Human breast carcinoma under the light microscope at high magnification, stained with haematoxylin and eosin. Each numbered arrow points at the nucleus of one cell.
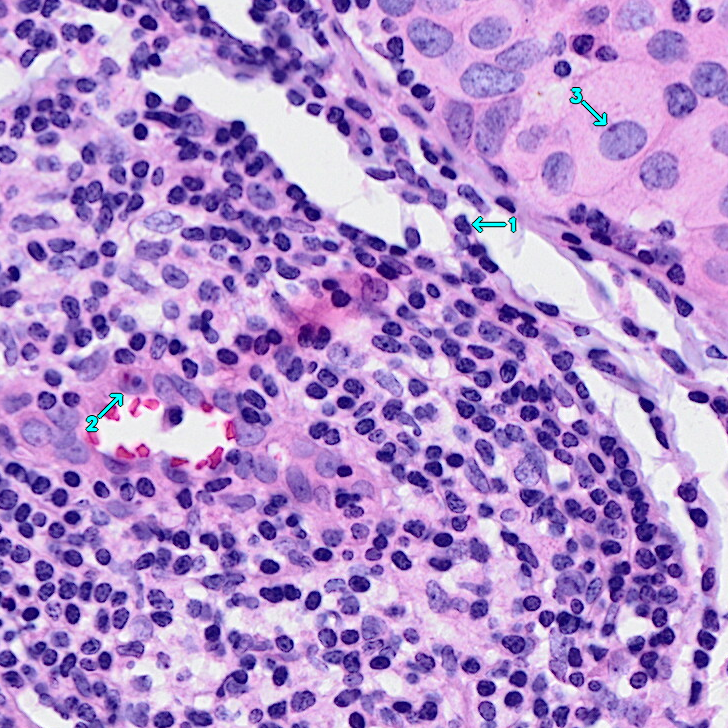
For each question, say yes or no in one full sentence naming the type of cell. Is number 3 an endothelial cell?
No, at number 3 sits a carcinoma cell, not an endothelial cell.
